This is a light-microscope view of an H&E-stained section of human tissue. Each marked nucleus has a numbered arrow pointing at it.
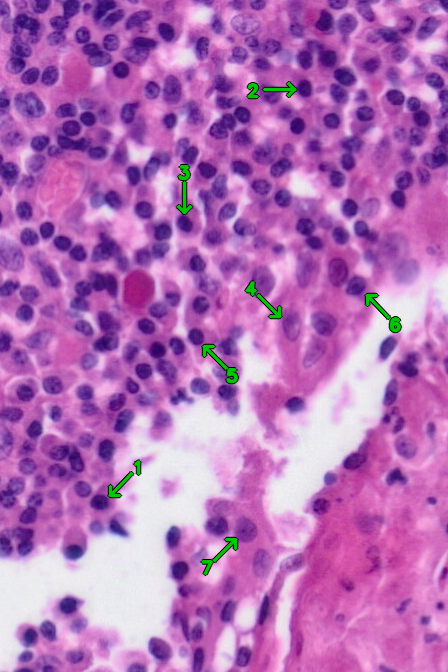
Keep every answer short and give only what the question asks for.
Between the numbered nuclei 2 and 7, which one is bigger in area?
7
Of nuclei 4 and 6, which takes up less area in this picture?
6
